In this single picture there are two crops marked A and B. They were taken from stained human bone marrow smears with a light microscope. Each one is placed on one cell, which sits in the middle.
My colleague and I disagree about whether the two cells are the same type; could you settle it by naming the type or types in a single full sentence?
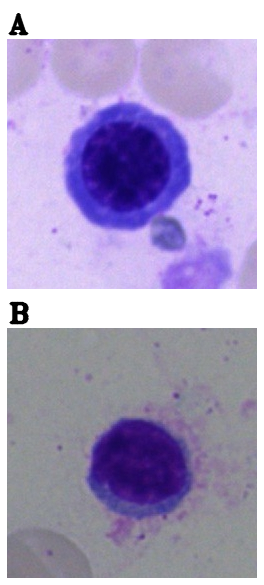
No, crop A presents an erythroblast, whereas crop B presents a lymphocyte.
